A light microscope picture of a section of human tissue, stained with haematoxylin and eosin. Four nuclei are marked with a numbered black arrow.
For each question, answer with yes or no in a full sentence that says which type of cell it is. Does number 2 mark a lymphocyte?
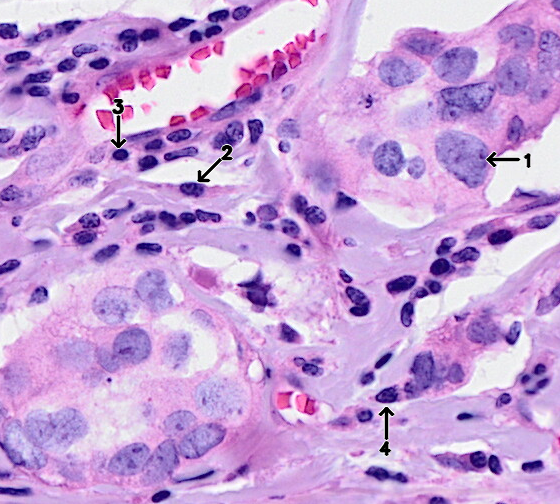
Yes, the cell with number 2 is a lymphocyte.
